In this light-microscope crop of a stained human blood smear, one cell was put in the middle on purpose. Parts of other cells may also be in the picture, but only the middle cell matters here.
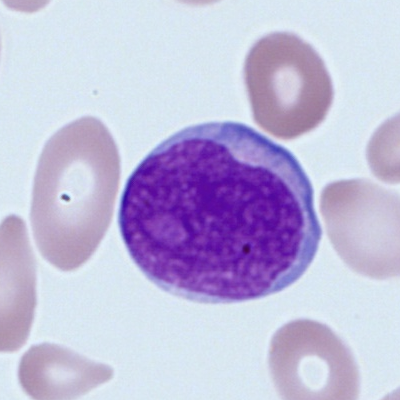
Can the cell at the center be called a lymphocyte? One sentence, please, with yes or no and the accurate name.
No, the cell positioned in the middle is a myeloblast, not a lymphocyte.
